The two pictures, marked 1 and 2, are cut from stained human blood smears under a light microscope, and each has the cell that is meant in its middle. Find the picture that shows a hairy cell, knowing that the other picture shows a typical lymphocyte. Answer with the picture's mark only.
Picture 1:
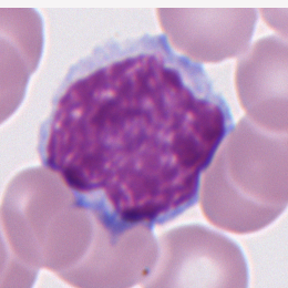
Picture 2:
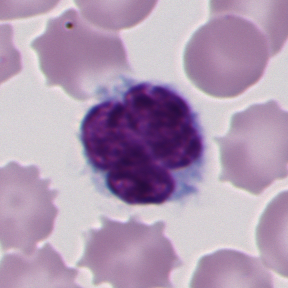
2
